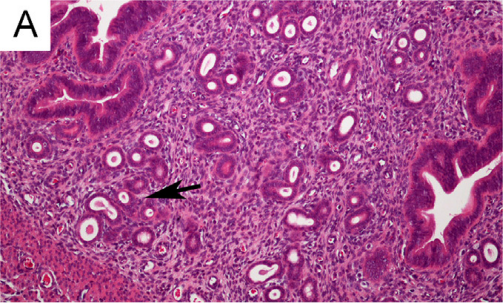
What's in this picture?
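Endometrium of the uterus with numerous round and oval glands cut in cross-section, each lined by a single layer of cuboidal to columnar epithelium around a clear lumen. The glands are set in a dense, cellular stroma of small spindle-shaped cells, and larger branched glands with folded purple epithelium lie at the top and right. A band of pink, more compact tissue runs along the lower left corner.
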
